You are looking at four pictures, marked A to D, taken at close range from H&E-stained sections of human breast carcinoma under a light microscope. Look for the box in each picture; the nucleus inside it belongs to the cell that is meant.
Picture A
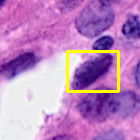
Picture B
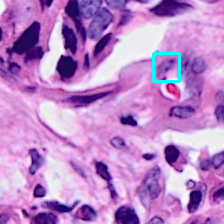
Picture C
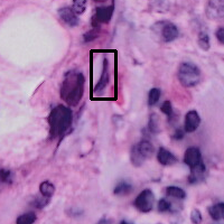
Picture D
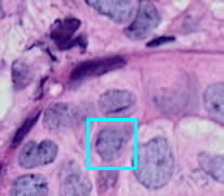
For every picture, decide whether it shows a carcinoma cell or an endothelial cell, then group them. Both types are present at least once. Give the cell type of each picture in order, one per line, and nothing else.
carcinoma cell
endothelial cell
endothelial cell
carcinoma cell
